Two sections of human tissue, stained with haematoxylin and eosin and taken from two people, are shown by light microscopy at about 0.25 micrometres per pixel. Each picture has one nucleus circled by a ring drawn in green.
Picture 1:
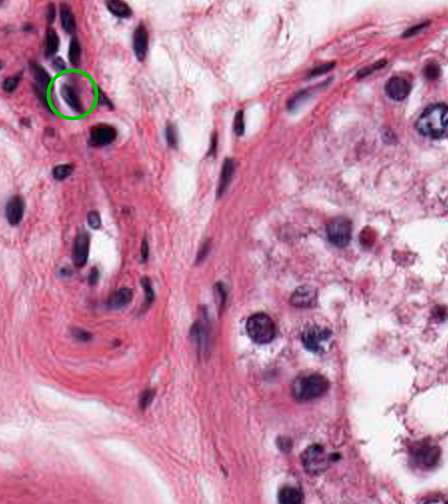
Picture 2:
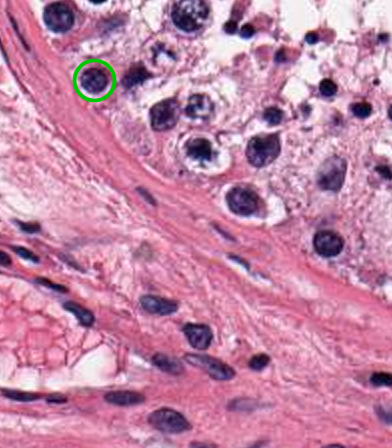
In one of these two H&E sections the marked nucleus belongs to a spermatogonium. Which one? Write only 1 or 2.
2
